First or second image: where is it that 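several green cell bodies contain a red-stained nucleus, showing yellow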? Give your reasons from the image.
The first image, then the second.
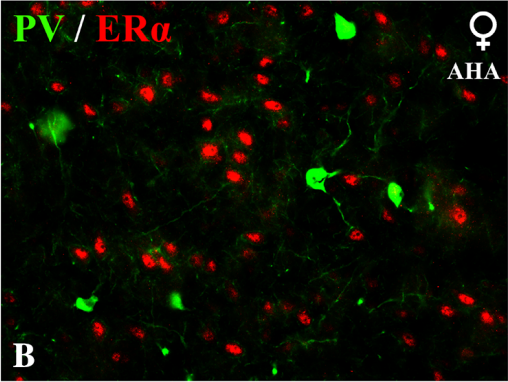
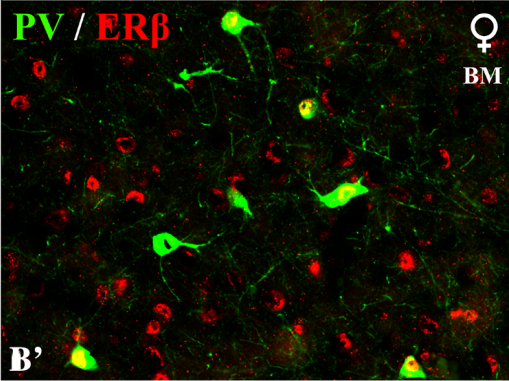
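First image: green cell bodies are purely green, red nuclei lie apart from them. Second image: several green cell bodies have a yellow-orange centre.
Conclusion: the second image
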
